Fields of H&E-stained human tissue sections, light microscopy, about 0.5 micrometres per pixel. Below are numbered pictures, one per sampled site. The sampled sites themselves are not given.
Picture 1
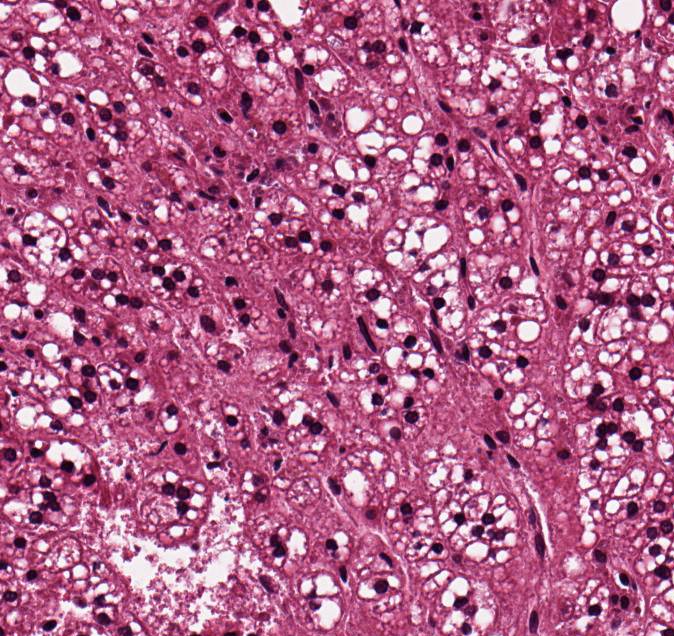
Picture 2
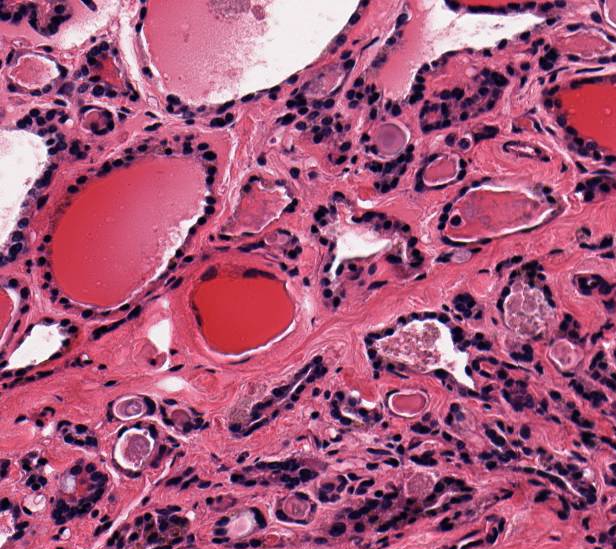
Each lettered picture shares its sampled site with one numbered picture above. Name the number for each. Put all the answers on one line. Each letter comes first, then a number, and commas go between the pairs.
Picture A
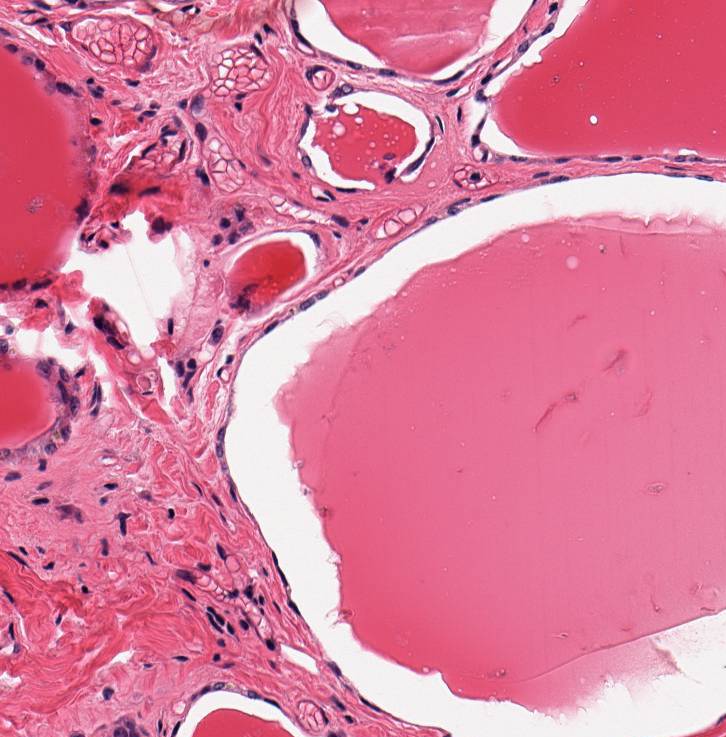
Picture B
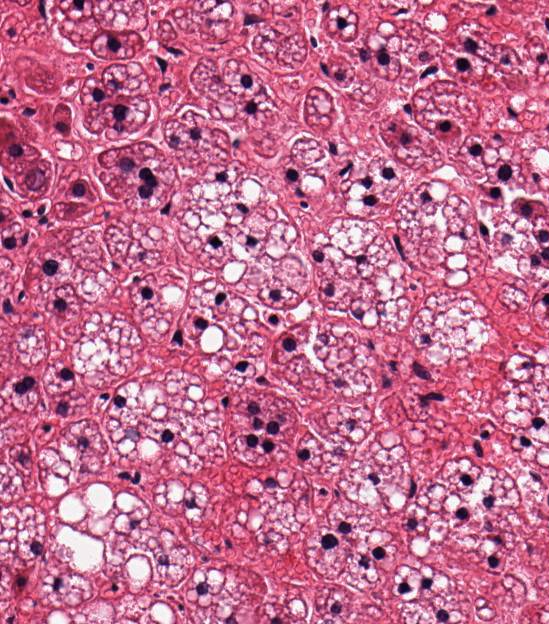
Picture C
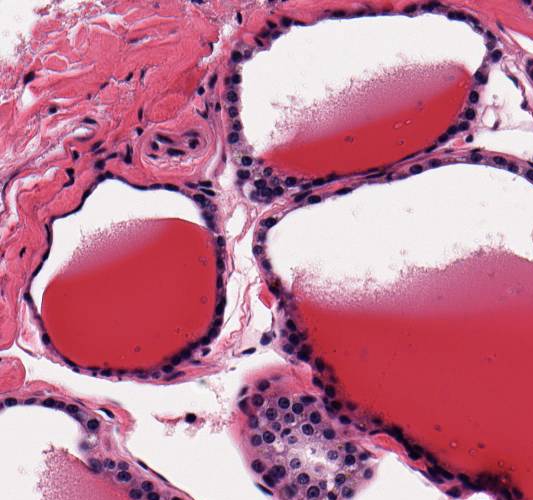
A 2, B 1, C 2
